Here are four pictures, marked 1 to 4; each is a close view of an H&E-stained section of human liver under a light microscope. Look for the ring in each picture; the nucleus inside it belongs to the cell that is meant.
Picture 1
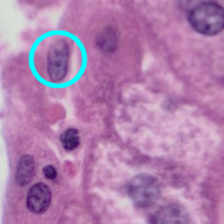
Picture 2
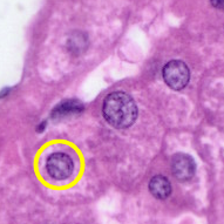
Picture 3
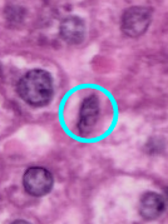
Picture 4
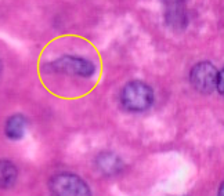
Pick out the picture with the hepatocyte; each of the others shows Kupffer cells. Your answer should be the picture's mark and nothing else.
2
